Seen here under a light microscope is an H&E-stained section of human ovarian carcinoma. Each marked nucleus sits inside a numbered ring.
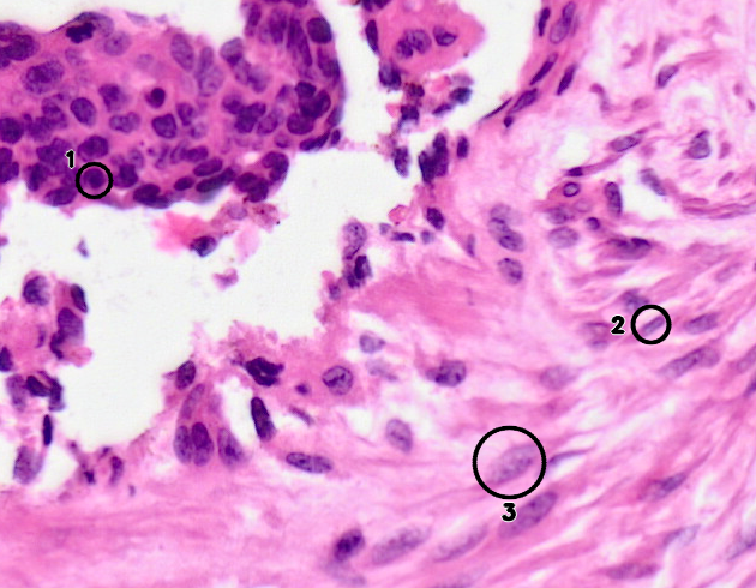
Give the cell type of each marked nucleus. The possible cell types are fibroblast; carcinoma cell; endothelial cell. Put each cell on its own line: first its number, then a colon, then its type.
1: carcinoma cell
2: fibroblast
3: fibroblast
